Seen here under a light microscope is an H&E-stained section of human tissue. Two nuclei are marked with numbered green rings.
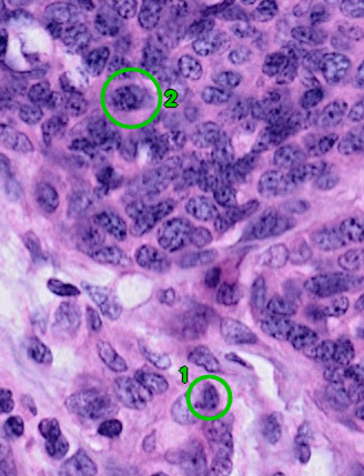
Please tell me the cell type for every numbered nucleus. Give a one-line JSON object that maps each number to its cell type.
{"1": "lymphocyte", "2": "squamous carcinoma cell"}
